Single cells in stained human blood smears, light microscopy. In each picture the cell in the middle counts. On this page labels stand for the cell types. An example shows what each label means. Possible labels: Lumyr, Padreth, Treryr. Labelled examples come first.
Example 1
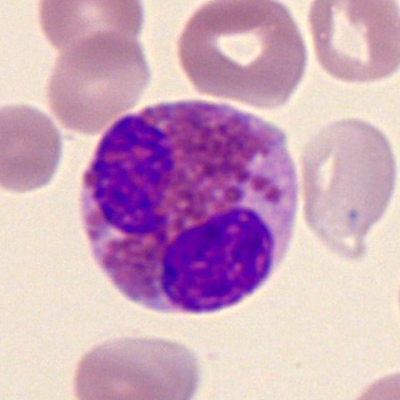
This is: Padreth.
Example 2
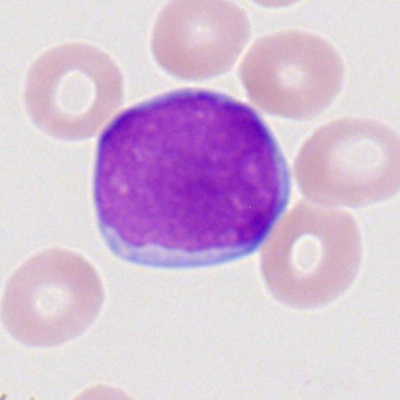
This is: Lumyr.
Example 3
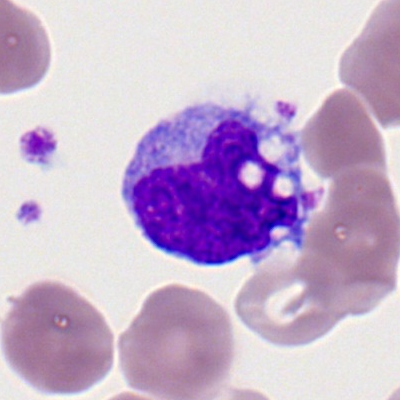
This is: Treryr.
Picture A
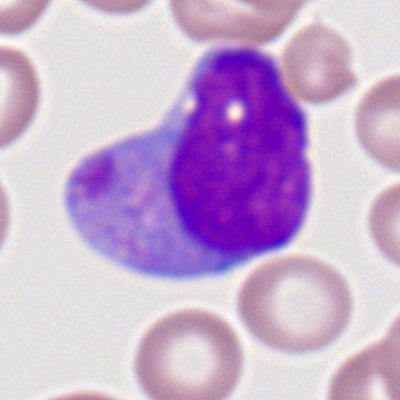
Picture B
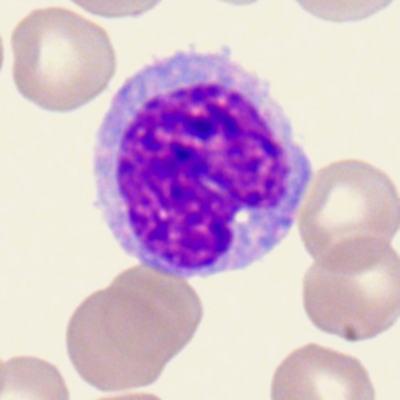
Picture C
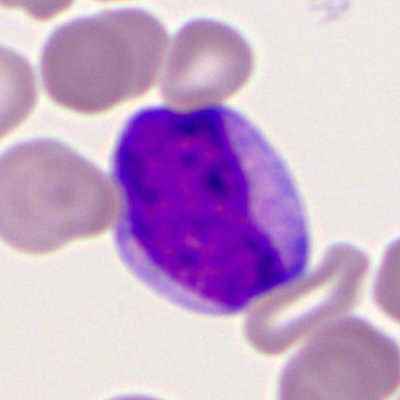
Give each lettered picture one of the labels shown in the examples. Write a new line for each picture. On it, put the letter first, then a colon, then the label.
A: Treryr.
B: Treryr.
C: Lumyr.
